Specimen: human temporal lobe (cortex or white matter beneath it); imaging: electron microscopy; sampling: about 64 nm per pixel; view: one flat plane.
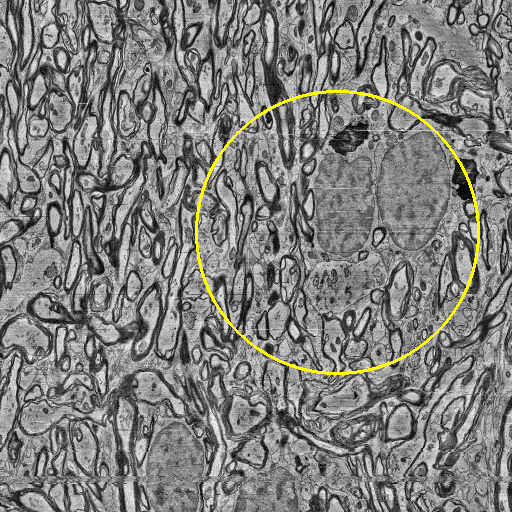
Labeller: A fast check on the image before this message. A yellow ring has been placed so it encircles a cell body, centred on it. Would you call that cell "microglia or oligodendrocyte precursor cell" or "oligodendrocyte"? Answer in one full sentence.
In this image, an oligodendrocyte is the cell on which the yellow ring is centred.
